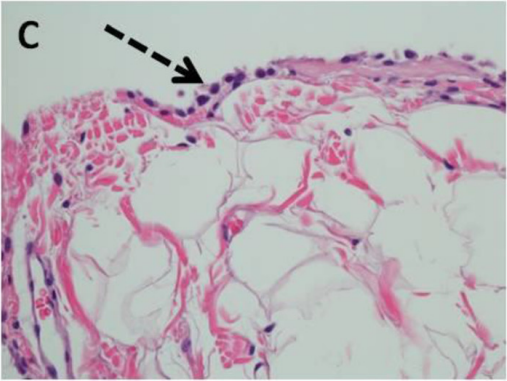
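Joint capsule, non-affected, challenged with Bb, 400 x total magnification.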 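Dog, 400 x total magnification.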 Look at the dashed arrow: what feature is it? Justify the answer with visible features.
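The lining is one cell thick over fat and pink fibres. So: synovial layer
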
